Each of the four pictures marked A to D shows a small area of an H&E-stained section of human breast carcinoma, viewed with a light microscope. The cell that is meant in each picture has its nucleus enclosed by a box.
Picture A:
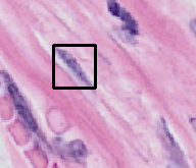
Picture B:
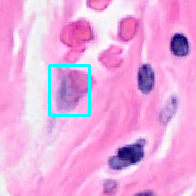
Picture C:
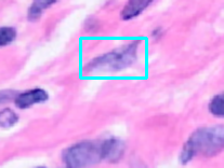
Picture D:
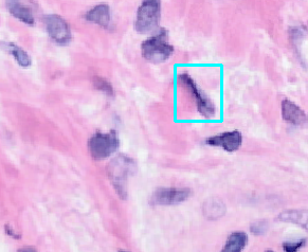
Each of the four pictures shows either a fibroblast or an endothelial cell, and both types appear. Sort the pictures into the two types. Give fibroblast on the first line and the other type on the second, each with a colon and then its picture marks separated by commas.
fibroblast: A, C, D
endothelial cell: B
